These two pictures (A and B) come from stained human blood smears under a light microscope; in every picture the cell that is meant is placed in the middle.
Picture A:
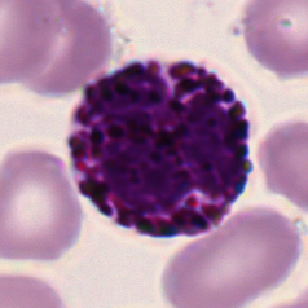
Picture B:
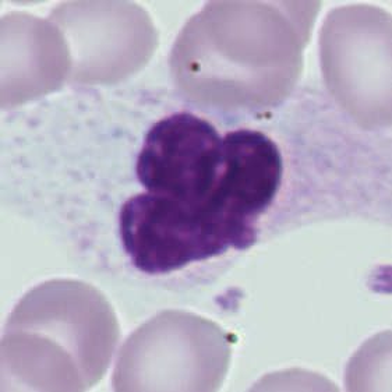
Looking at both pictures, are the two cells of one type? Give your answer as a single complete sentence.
No; the cell in picture A is a basophil, while the one in picture B is a segmented neutrophil.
